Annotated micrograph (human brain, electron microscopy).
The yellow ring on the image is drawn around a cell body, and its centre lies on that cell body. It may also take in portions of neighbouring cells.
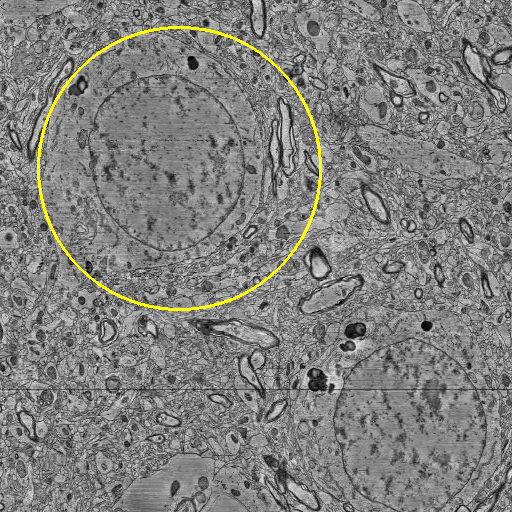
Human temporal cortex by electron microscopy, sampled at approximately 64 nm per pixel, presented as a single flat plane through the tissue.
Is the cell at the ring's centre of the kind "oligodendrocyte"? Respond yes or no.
No, it is of another kind.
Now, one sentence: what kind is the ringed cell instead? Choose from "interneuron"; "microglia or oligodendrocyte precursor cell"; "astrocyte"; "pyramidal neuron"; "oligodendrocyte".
The cell in the ring is a pyramidal neuron instead.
